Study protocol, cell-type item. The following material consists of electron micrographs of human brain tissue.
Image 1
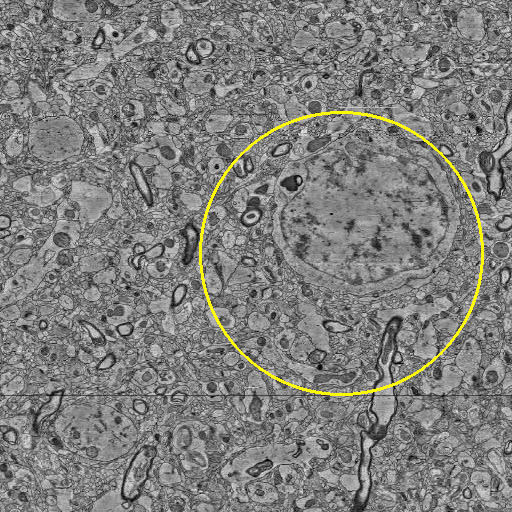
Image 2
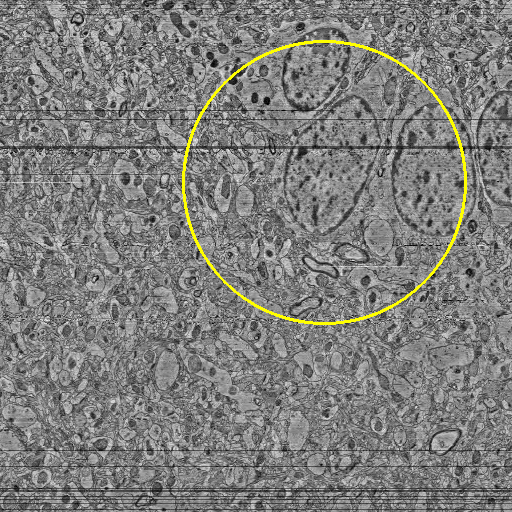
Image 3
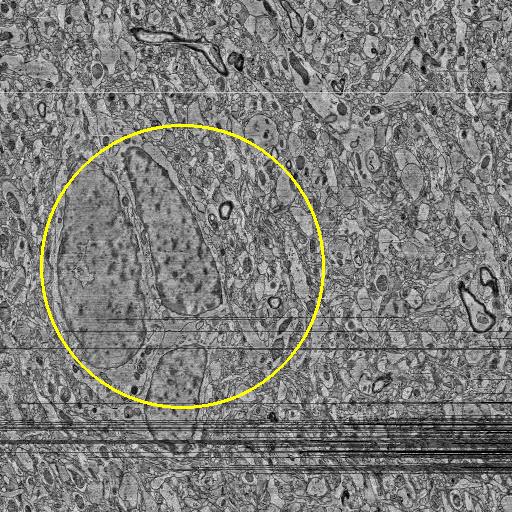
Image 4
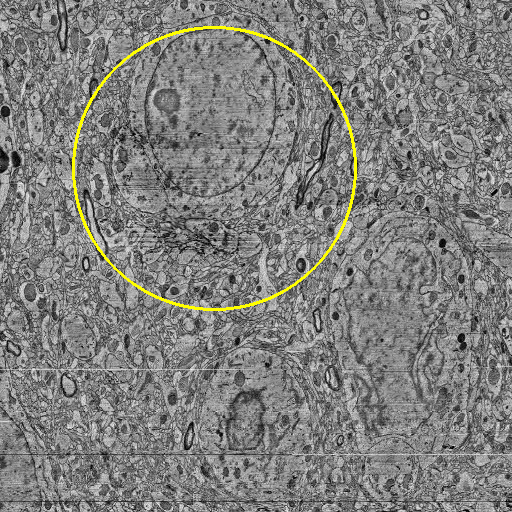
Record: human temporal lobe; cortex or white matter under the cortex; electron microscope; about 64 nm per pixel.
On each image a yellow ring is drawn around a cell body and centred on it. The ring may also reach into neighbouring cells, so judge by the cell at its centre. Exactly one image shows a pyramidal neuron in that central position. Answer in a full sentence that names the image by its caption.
The cell at the centre of the ring in Image 4 is of that kind.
